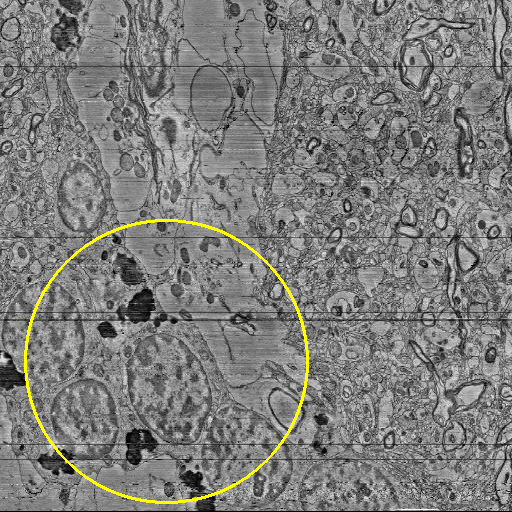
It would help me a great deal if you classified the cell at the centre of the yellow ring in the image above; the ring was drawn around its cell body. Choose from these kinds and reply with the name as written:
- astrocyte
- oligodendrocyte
oligodendrocyte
